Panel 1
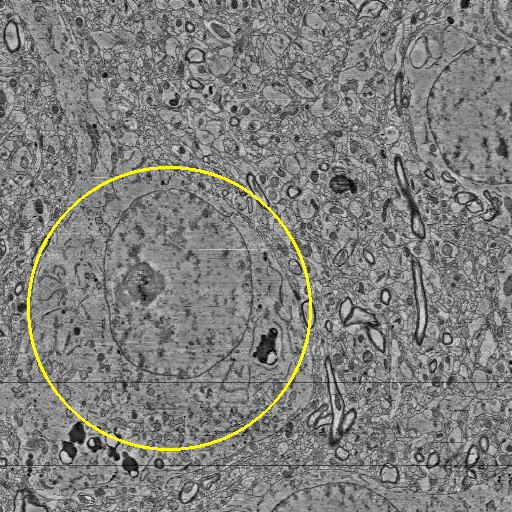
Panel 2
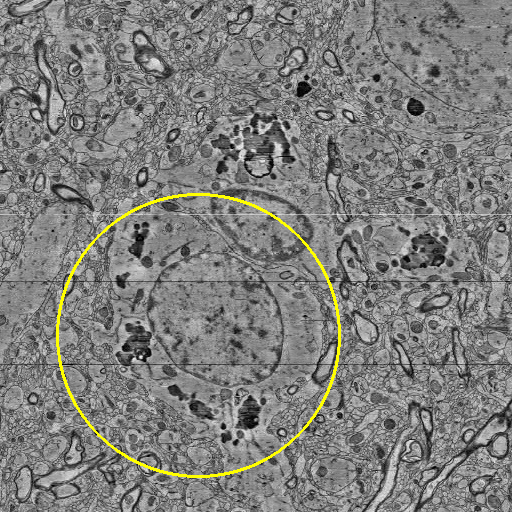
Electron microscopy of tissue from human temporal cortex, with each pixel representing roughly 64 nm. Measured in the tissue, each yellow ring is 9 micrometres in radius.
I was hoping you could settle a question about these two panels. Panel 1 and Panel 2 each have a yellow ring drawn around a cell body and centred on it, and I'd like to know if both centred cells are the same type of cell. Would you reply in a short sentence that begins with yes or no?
No, they are two types of cell.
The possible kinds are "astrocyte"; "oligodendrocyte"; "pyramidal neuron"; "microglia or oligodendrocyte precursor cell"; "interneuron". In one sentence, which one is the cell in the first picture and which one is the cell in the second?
The cell ringed in the second picture is an astrocyte, whereas the one ringed in the first is a pyramidal neuron.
